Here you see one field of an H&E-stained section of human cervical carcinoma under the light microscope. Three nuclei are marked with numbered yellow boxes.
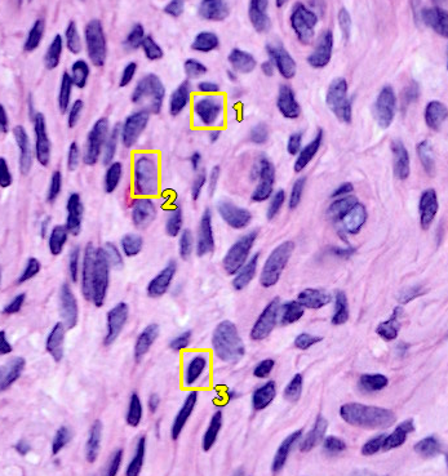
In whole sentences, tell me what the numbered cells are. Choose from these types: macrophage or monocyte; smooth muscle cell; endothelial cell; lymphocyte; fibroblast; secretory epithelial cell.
Cell 1 is a fibroblast, cell 2 is an endothelial cell and cell 3 is a fibroblast.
